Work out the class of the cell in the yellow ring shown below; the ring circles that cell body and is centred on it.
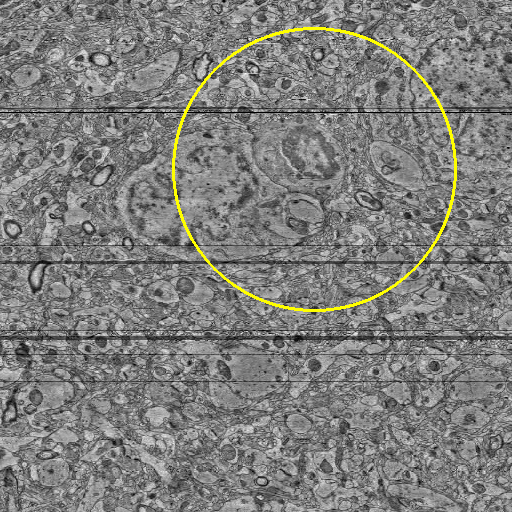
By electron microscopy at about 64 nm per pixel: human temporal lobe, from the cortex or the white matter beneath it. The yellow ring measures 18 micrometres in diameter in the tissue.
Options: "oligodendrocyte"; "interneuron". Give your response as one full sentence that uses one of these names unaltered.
The body ringed in yellow, right at the ring's centre, is that of an oligodendrocyte.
